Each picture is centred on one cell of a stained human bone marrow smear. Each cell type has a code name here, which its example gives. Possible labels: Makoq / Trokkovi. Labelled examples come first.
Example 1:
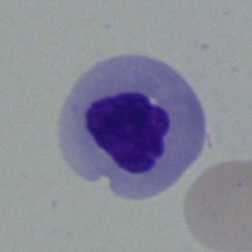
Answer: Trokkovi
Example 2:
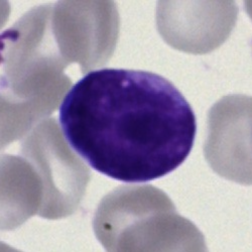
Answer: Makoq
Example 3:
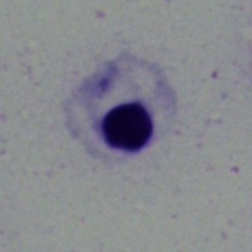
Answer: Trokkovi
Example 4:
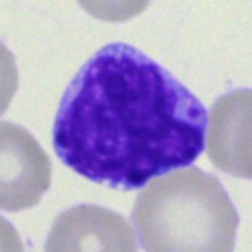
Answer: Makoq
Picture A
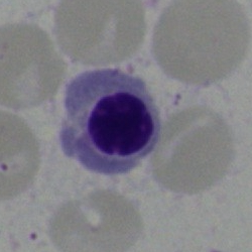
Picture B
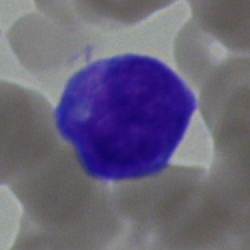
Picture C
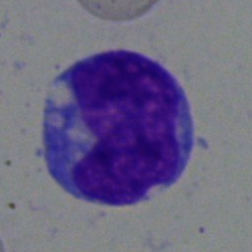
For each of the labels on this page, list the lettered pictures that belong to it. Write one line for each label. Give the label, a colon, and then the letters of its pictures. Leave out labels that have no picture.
Makoq: B, C
Trokkovi: A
